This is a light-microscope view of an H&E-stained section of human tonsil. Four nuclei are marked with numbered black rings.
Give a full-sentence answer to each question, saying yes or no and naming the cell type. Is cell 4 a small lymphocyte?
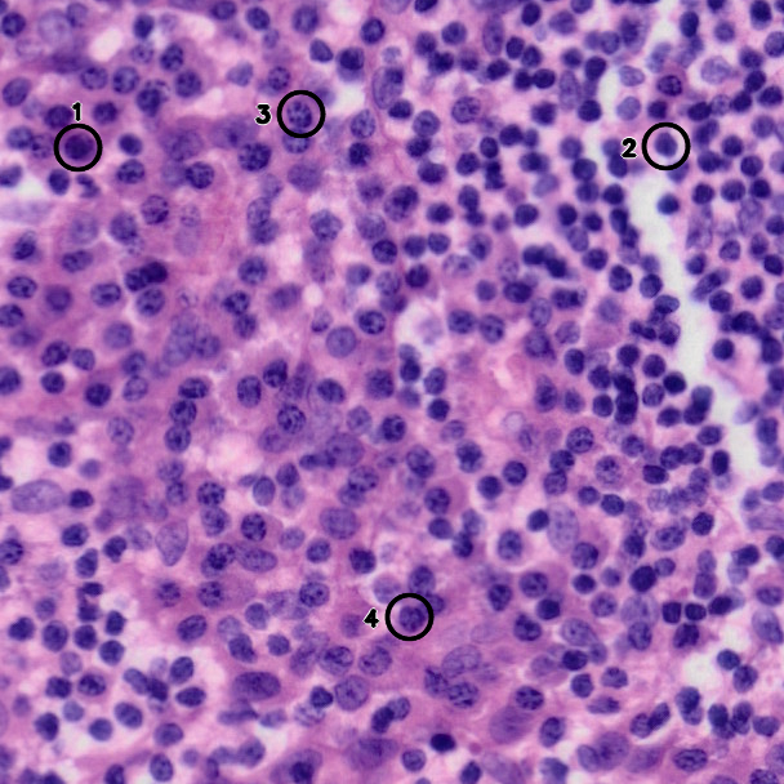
No, the cell at marker 4 is not a small lymphocyte; it is a plasma cell.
